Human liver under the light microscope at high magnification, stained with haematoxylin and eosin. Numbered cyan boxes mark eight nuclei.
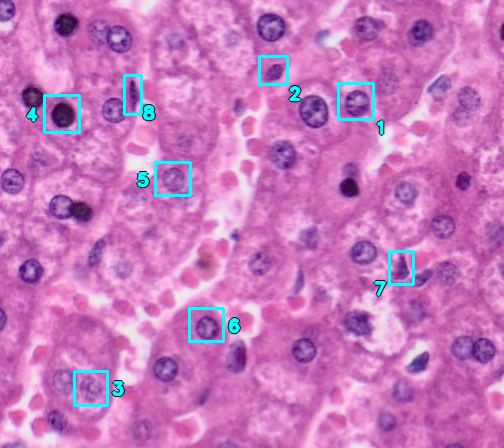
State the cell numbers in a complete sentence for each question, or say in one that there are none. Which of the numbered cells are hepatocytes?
The cells labelled 1, 3, 4, 5 and 6 in this section are hepatocytes.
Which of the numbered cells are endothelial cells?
The numbers 7 and 8 mark cells that are endothelial cells.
